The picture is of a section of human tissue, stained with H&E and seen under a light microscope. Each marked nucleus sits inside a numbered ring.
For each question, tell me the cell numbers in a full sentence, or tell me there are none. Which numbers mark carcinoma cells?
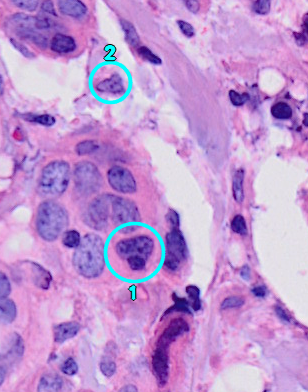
Cell 1 is a carcinoma cell and is the only numbered cell of that kind.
